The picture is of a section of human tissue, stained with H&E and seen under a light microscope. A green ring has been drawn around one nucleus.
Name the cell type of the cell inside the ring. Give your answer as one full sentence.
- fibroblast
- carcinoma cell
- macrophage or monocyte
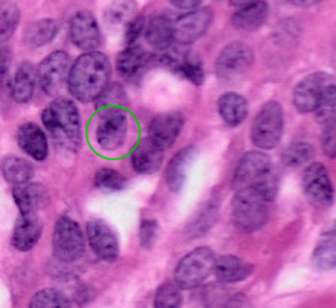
The expected answer is simply that the cell inside the ring is a macrophage or monocyte.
